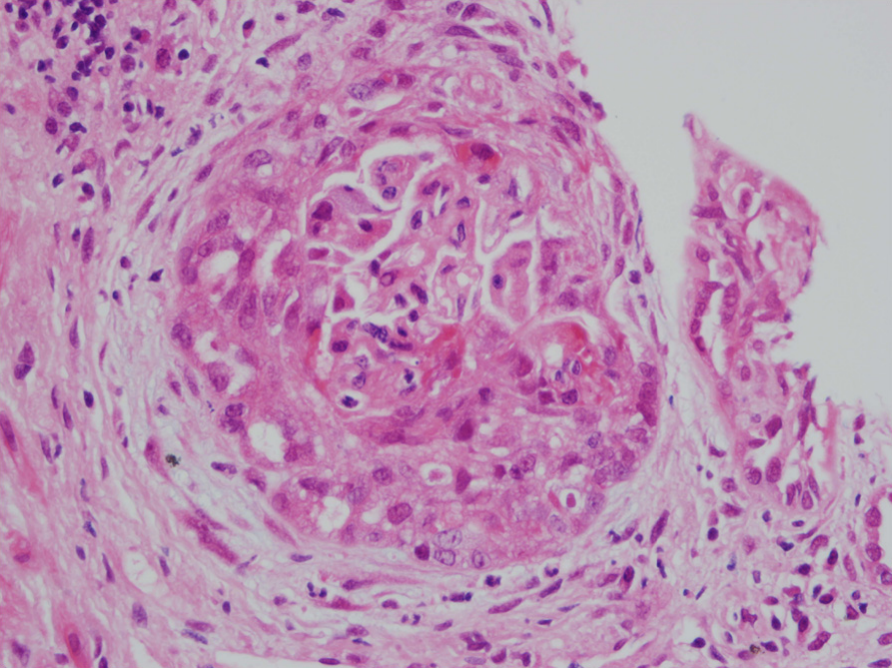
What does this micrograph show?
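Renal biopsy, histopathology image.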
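A single glomerulus in kidney tissue, stained pink and purple, has a central capillary tuft that looks compressed and shrunken. A thick, many-layered rim of plump cells with pale eosinophilic cytoplasm and ovoid nuclei fills the space around the tuft on every side, and a concentric band of spindle-shaped cells and fibrous tissue surrounds it. This rim of proliferating cells around the whole tuft is a circumferential cellular crescent.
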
